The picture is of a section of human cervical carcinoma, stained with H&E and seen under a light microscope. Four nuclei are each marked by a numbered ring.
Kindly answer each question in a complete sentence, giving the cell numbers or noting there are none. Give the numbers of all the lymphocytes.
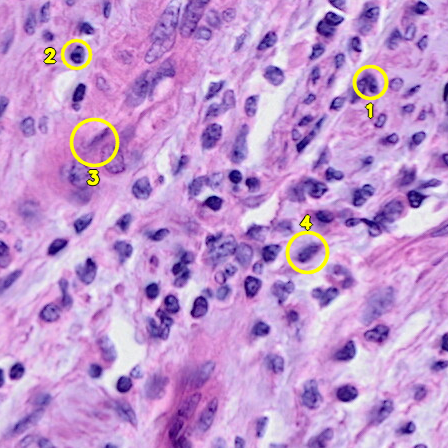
The numbers 1, 2 and 4 mark cells that are lymphocytes.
